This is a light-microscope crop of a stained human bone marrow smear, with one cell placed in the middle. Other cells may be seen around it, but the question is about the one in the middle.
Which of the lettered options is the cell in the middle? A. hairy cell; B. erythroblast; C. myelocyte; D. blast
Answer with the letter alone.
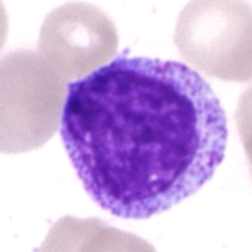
C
